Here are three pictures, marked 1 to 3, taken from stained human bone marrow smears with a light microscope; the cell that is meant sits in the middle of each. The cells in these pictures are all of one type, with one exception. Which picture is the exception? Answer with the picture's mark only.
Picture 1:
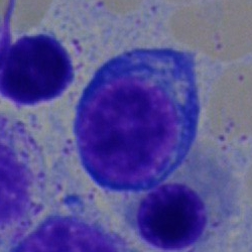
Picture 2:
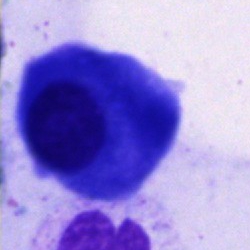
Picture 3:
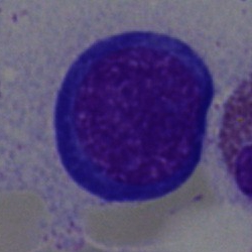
2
